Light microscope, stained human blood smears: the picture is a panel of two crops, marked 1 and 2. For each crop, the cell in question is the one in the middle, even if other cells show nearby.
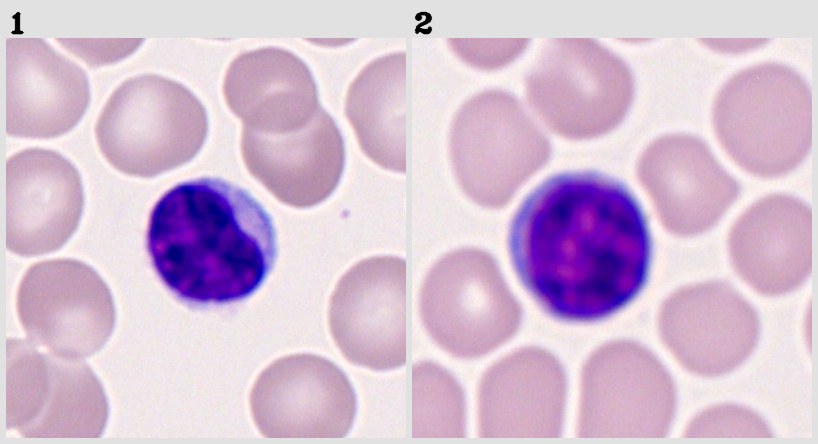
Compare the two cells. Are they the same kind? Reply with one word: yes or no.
yes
